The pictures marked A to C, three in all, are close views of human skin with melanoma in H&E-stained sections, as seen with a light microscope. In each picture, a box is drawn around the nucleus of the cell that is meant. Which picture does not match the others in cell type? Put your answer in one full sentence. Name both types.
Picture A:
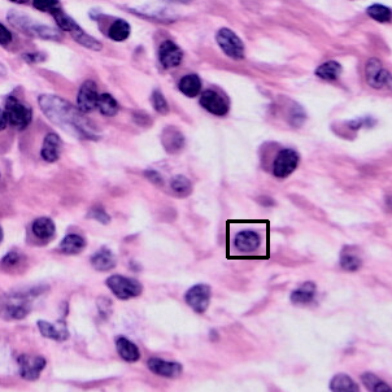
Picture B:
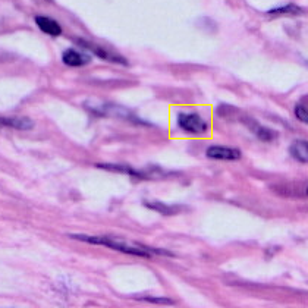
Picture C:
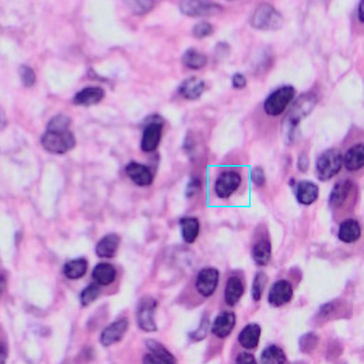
Unlike the rest, which show plasma cells, picture B shows a lymphocyte.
